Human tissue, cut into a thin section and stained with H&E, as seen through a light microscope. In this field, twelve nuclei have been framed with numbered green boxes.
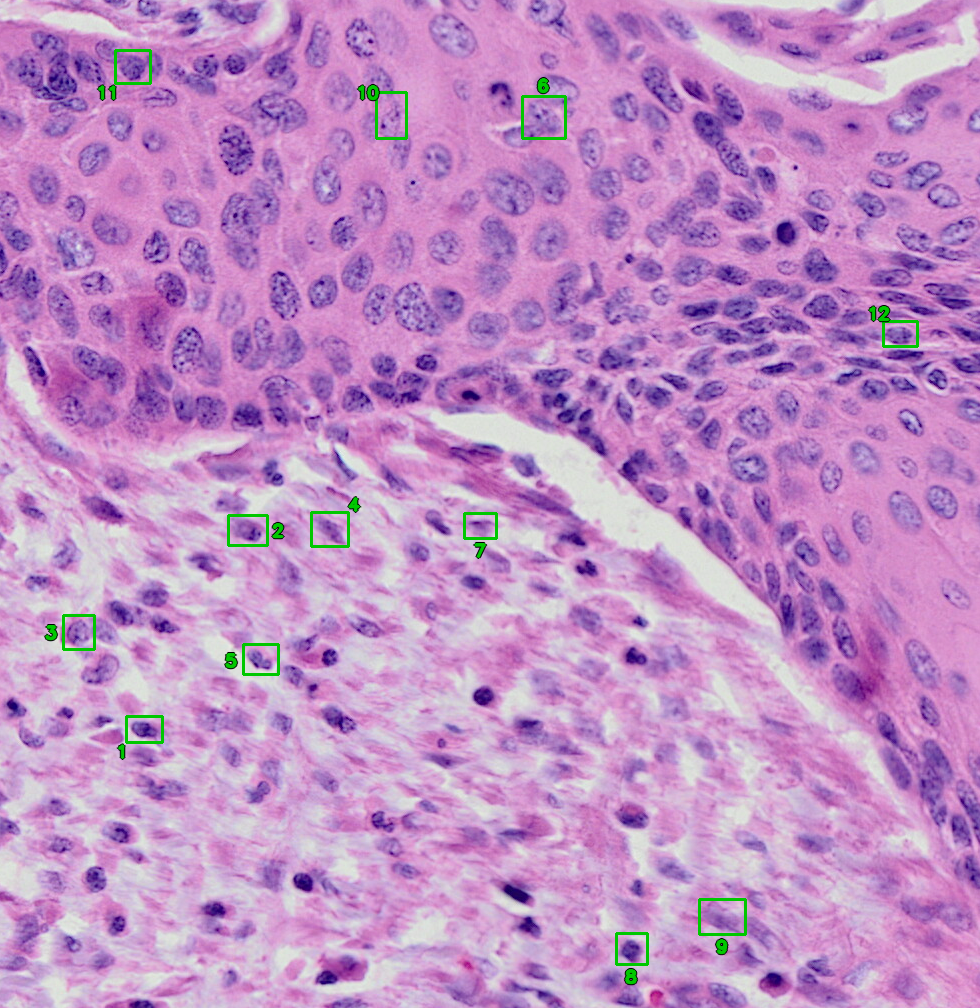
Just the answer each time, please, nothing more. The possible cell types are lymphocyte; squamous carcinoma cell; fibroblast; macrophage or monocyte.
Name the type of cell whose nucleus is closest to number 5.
macrophage or monocyte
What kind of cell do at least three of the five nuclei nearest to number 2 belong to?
fibroblast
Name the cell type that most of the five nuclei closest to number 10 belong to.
squamous carcinoma cell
